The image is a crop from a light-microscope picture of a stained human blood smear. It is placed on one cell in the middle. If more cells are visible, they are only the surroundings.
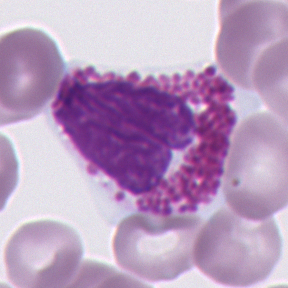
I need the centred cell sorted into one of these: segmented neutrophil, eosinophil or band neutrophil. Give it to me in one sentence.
In the middle of this smear crop, the cell is an eosinophil.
